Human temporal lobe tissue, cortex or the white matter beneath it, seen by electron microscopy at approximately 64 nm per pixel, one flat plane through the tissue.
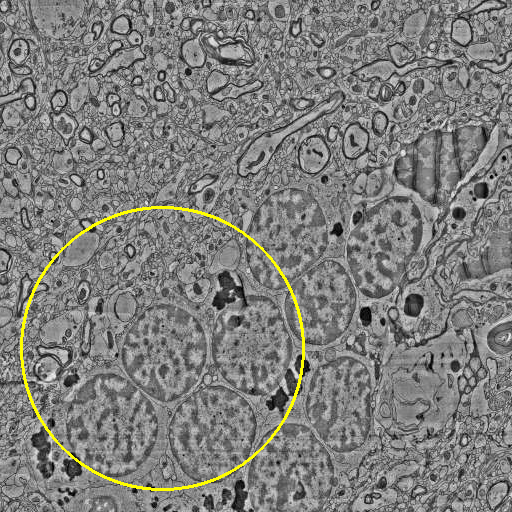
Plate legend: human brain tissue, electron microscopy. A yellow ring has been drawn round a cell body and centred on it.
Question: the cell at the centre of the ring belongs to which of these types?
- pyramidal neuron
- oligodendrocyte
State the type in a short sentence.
The cell in the middle of the ring is an oligodendrocyte.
